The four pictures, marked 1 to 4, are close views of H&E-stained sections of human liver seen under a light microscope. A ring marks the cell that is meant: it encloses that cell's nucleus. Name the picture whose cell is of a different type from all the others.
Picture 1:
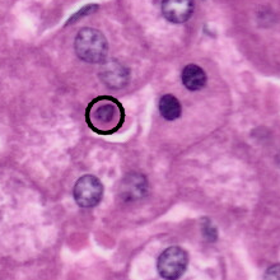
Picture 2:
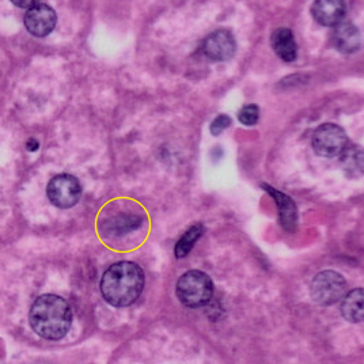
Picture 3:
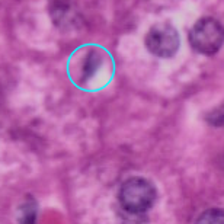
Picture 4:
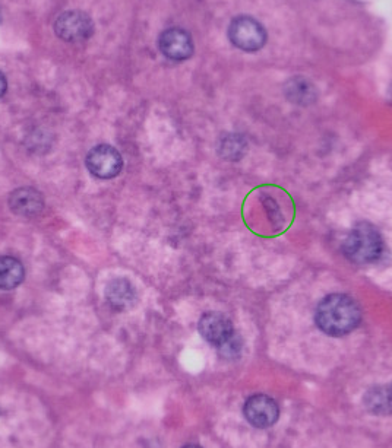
1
